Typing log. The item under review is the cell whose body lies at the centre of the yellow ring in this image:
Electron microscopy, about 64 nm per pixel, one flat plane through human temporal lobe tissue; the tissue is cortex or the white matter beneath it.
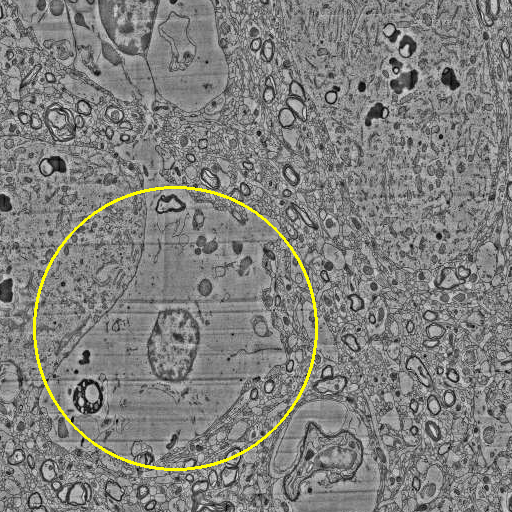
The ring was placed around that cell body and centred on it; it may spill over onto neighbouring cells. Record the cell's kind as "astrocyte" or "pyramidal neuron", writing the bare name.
astrocyte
